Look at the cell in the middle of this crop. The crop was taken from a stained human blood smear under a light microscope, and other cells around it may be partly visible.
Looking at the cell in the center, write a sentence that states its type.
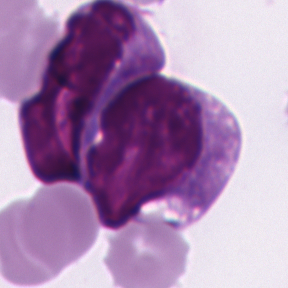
At the crop's centre, the cell is a myeloblast.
